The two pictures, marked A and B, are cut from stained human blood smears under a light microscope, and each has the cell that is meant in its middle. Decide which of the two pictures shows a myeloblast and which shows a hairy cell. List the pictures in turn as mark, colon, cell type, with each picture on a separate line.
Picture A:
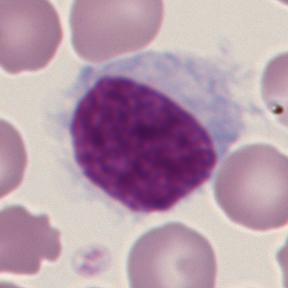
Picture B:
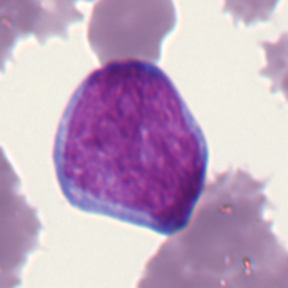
A: hairy cell
B: myeloblast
